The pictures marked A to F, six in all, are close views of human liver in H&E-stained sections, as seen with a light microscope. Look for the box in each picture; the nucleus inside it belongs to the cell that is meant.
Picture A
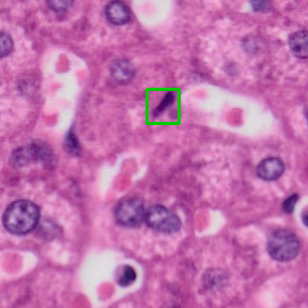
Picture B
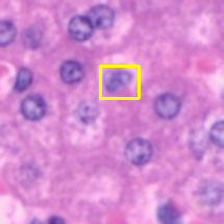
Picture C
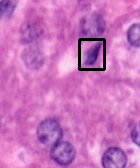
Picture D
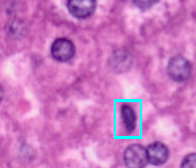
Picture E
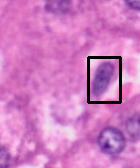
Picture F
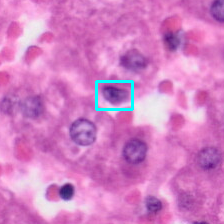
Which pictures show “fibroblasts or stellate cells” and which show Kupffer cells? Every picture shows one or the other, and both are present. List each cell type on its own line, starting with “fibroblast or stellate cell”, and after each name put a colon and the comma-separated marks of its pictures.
fibroblast or stellate cell: A, C
Kupffer cell: B, D, E, F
